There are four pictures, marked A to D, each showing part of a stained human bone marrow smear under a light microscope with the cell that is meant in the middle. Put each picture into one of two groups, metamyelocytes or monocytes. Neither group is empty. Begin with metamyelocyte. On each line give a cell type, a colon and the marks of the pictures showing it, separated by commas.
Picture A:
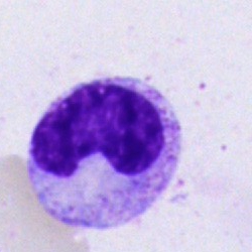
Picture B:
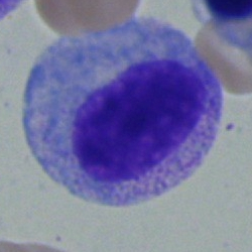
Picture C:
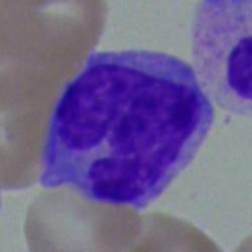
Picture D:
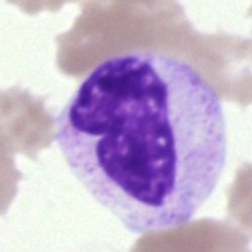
metamyelocyte: A, B, D
monocyte: C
